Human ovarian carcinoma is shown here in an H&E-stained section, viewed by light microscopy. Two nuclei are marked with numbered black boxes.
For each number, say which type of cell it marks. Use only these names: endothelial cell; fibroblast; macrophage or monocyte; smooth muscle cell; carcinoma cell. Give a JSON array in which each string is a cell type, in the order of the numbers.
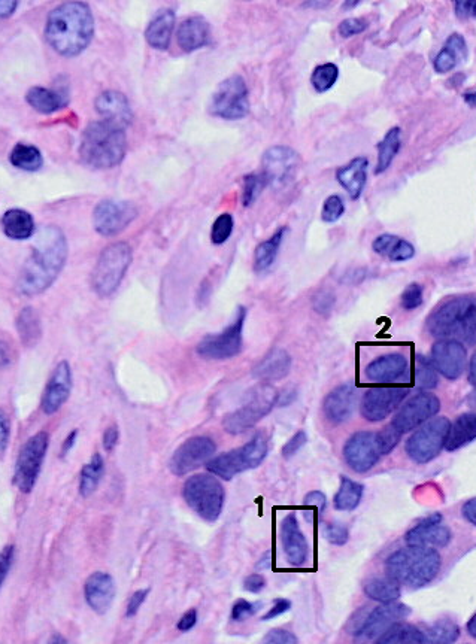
["fibroblast", "carcinoma cell"]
